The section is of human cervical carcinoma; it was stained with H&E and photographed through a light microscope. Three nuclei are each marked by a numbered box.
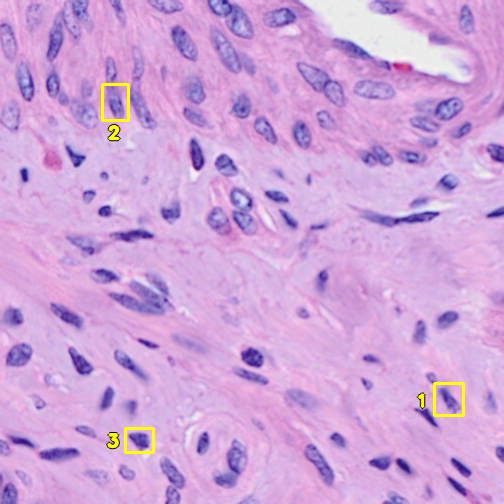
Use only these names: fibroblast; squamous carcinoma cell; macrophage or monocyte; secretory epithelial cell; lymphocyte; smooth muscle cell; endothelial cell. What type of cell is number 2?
smooth muscle cell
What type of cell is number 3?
fibroblast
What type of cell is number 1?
fibroblast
